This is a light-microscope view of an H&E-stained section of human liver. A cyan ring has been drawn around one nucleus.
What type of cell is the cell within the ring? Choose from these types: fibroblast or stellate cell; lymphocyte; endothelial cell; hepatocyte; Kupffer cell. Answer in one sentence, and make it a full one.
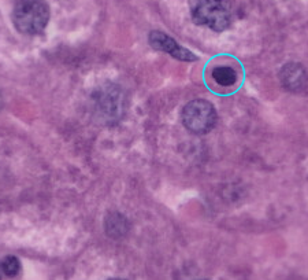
In short, the cell within the ring on this section is a lymphocyte.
